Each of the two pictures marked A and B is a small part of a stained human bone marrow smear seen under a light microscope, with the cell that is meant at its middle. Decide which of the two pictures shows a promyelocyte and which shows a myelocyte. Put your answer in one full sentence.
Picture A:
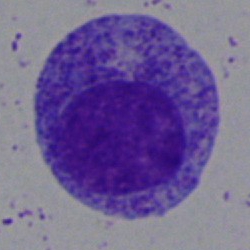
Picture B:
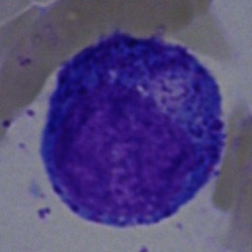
In picture A the cell is a myelocyte; in picture B, a promyelocyte.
